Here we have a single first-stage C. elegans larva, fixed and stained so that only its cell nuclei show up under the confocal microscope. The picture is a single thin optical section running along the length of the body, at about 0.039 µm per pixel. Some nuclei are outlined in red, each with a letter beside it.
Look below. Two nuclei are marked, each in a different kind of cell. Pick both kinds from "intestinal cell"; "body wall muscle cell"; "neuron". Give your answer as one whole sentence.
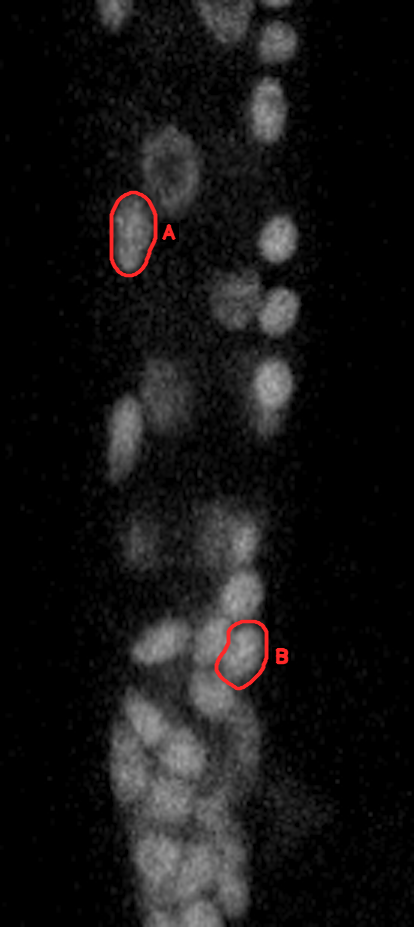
Nucleus A comes from a body wall muscle cell and nucleus B from a neuron.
